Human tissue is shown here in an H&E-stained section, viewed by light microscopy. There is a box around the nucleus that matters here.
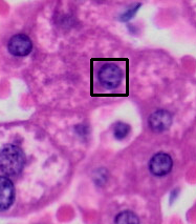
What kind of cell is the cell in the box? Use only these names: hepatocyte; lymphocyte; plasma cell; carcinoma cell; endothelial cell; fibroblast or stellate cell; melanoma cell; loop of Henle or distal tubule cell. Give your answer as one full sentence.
Cytologically, the cell in the box is to be regarded as a hepatocyte.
